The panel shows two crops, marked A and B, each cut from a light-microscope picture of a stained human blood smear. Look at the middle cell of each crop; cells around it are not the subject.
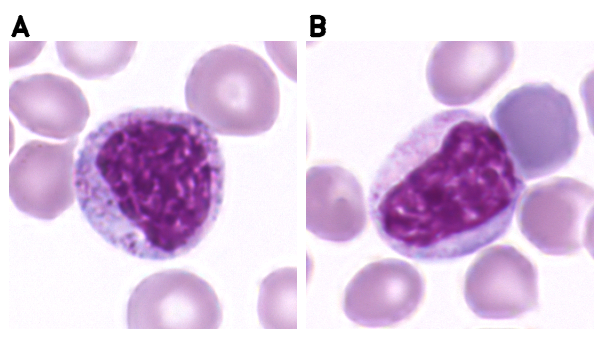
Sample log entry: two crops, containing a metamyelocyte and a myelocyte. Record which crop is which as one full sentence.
Crop A is classified as a myelocyte, and crop B as a metamyelocyte.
